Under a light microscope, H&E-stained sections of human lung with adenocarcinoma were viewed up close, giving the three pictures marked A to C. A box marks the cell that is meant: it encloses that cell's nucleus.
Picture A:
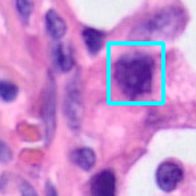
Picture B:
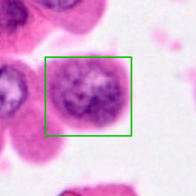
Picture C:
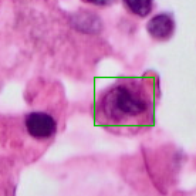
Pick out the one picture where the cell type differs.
C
